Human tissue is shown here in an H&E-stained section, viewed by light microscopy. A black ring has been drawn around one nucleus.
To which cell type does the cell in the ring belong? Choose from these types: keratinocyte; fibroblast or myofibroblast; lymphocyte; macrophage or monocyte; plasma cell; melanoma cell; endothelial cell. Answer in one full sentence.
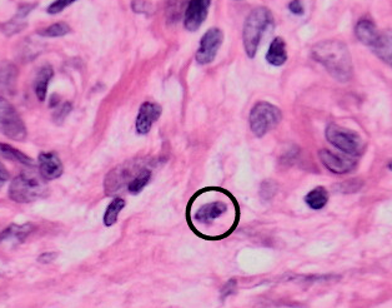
On this particular slide, the cell in the ring is a lymphocyte.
